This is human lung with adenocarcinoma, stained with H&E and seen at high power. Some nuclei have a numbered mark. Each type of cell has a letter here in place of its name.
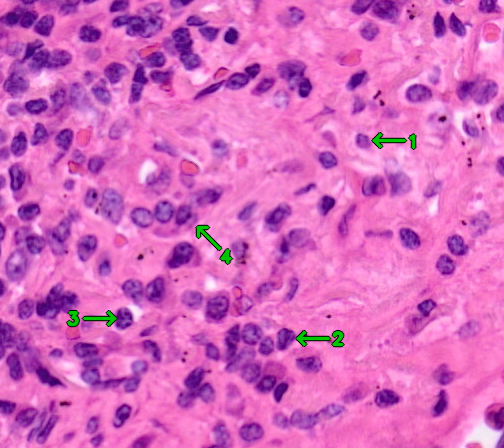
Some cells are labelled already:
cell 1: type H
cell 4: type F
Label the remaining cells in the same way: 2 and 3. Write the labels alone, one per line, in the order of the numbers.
type H
type H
